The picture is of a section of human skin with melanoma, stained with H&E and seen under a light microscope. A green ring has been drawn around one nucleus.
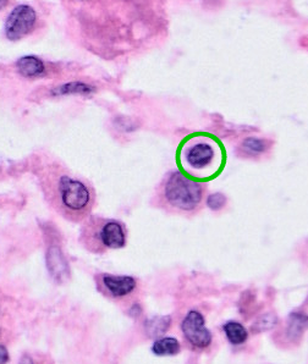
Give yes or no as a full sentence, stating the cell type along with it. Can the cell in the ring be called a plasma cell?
No, the cell in the ring is not a plasma cell, being instead a lymphocyte.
